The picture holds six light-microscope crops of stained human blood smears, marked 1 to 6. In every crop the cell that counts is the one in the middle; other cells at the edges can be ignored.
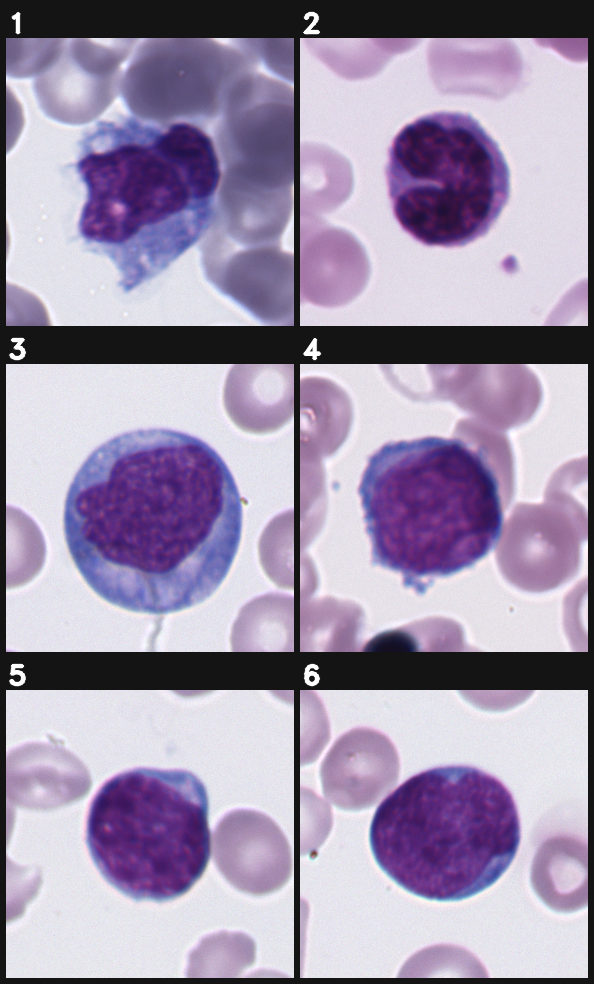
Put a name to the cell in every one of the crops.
1: monocyte
2: monocyte
3: myeloblast
4: myeloblast
5: myeloblast
6: myeloblast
